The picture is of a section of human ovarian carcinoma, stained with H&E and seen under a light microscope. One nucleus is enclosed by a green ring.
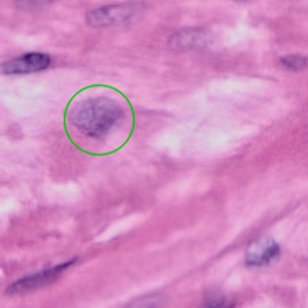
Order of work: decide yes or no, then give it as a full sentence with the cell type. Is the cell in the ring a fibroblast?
Yes, that is right: the cell in the ring is a fibroblast.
